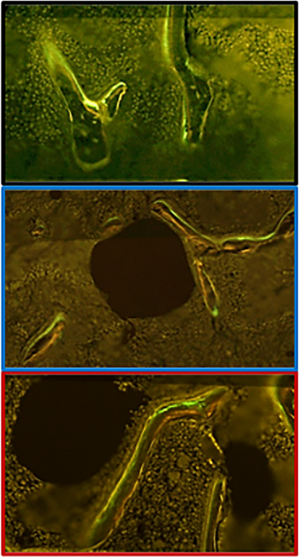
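Along the surfaces of the struts run bright yellow-green fluorescent lines, in places as two roughly parallel bands. Large round dark holes interrupt the marrow in the lower images.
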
